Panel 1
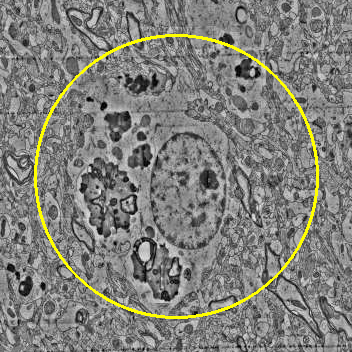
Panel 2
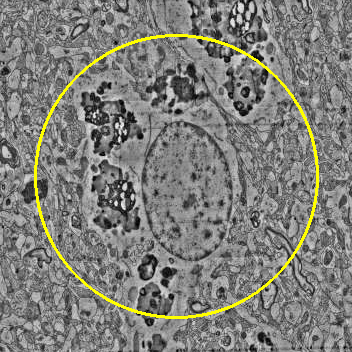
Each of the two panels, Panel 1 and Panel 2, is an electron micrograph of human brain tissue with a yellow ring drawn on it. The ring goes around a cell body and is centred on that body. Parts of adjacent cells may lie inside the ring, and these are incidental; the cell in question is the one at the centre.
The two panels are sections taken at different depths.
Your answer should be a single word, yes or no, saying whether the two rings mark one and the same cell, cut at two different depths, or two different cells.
yes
